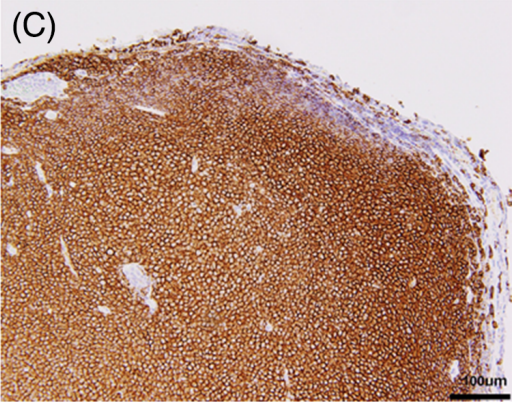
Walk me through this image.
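A dense, rounded mass of cells is stained brown almost throughout, the brown outlining each cell so that the sheet looks like a fine mesh of small rings. Only a thin rim of bluish, less cellular tissue at the top edge and a few slender pale streaks of stroma inside the mass stay unstained.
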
